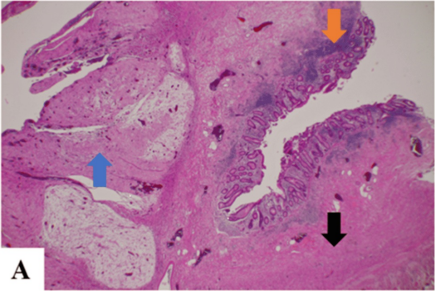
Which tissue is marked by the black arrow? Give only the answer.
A: Smooth muscle layer.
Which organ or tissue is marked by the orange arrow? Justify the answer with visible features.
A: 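Mucosa. The arrow points to a band lining the lumen with crowded glands. This band stains darker purple than the underlying wall.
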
